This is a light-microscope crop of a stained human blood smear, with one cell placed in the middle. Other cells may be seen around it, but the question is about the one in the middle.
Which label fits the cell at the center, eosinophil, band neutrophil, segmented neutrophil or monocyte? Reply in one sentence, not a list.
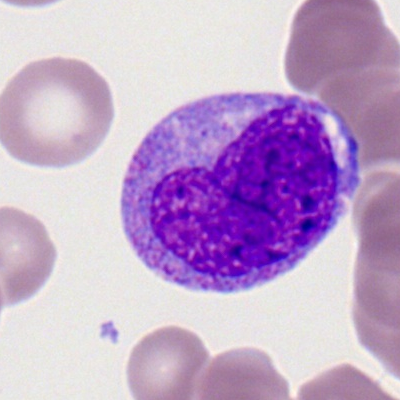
In the crop, the cell of interest at the centre is a monocyte.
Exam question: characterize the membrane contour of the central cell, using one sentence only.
Edge check done: smooth outline, no projections present.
